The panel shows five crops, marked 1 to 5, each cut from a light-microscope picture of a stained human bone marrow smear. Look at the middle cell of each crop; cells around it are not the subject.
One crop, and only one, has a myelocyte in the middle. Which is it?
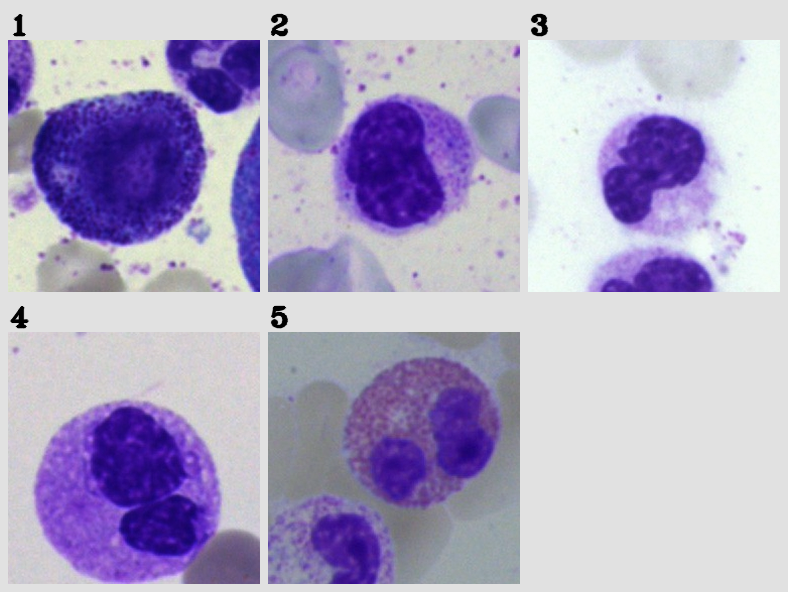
2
